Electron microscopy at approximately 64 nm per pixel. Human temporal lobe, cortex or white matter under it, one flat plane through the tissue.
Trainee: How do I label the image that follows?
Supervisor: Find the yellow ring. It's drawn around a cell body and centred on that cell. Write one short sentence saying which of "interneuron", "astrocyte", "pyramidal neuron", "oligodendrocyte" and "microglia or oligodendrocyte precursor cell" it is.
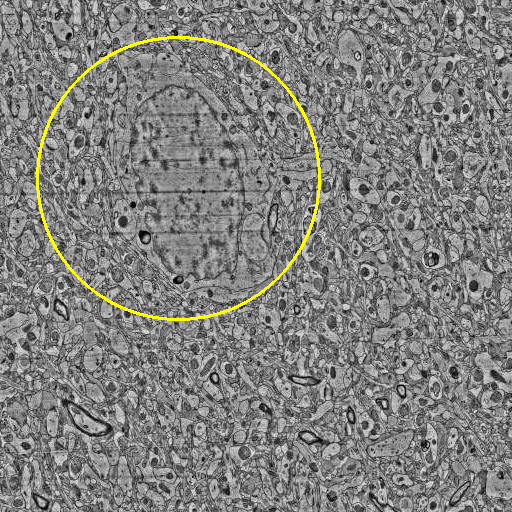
This is the cell body of an interneuron.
